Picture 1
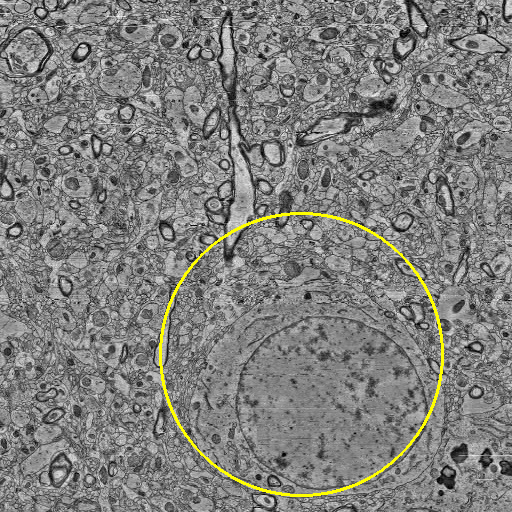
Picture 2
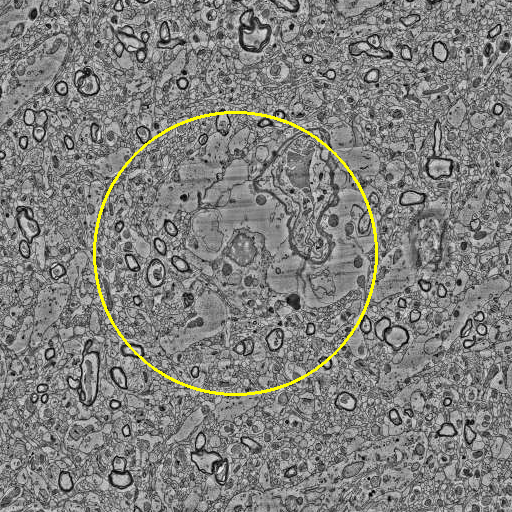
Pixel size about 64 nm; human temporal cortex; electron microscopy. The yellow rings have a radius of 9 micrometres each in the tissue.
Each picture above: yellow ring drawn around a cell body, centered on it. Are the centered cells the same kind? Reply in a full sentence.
No, the two cells are two kinds of cell.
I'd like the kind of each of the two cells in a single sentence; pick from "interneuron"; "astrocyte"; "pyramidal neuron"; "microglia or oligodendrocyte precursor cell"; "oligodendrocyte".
The first ring marks a pyramidal neuron, and the second ring marks an oligodendrocyte.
